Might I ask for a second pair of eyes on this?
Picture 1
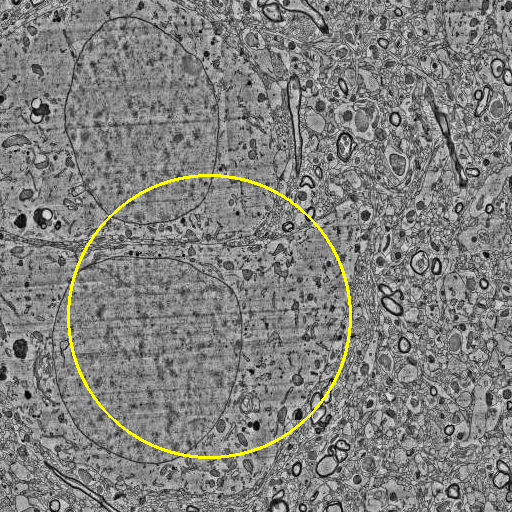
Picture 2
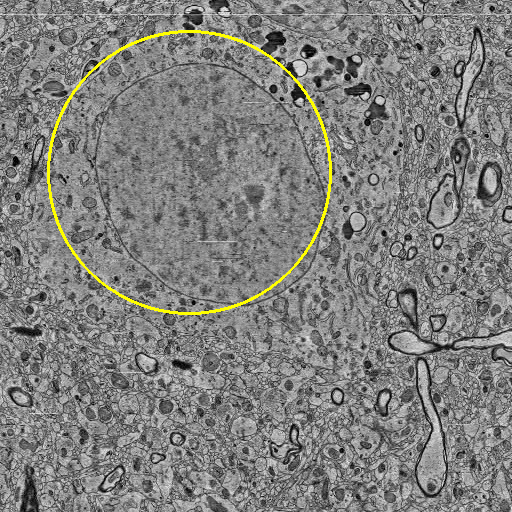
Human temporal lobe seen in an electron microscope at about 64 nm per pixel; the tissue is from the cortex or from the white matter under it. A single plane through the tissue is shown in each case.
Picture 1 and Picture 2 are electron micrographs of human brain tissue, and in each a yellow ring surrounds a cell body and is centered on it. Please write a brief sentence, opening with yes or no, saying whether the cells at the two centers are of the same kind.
Yes, the cells are of the same kind.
